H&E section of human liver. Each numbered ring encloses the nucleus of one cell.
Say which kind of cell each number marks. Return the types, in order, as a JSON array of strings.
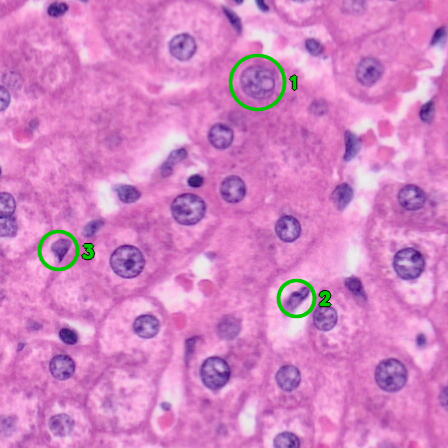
["hepatocyte", "Kupffer cell", "endothelial cell"]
